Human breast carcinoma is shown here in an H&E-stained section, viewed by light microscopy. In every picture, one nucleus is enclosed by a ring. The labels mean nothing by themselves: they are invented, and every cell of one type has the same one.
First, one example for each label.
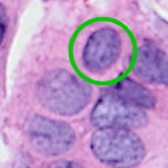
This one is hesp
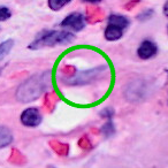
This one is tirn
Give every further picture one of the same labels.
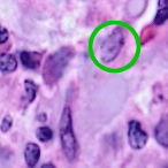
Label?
tirn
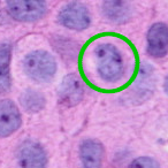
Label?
hesp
